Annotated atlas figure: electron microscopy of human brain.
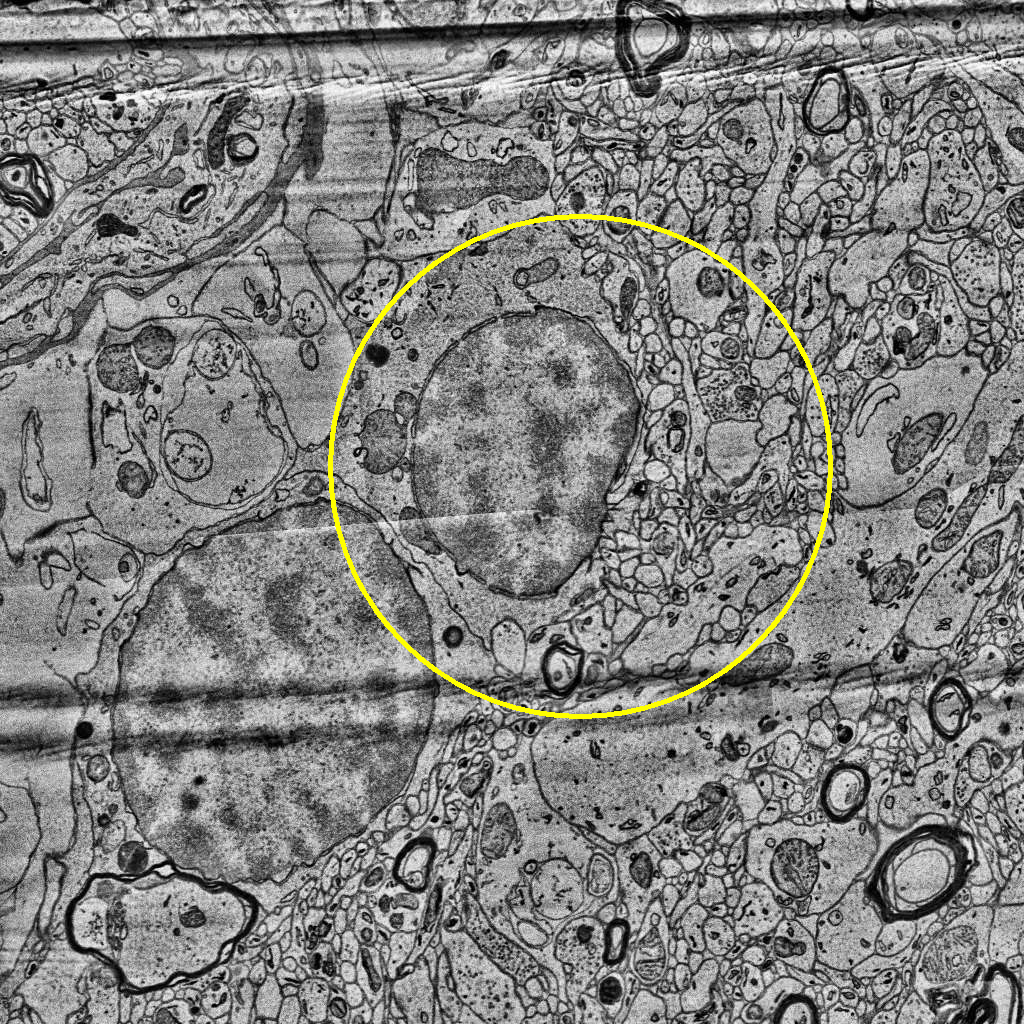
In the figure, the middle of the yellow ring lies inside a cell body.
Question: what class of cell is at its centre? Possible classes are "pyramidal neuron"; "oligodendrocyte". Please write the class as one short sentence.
The yellow ring's centre lies in an oligodendrocyte.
